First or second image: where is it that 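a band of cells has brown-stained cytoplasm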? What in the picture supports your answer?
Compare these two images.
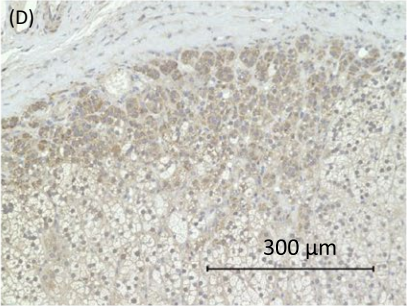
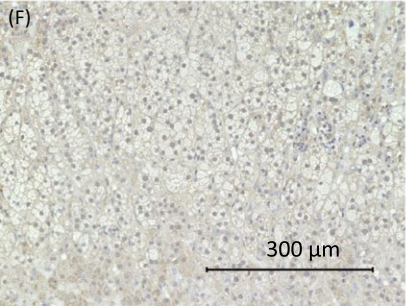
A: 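Second image: cells with pale, clear, vacuolated cytoplasm show at most a faint beige tint. First image: compact cells beneath the capsule have clearly brown cytoplasm. The answer: the first image.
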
